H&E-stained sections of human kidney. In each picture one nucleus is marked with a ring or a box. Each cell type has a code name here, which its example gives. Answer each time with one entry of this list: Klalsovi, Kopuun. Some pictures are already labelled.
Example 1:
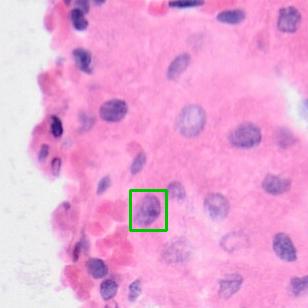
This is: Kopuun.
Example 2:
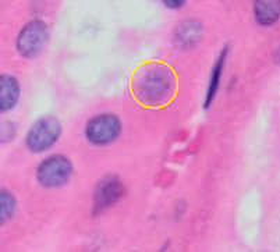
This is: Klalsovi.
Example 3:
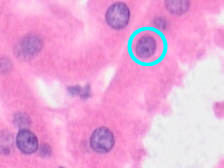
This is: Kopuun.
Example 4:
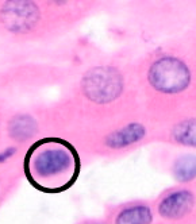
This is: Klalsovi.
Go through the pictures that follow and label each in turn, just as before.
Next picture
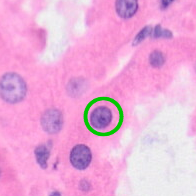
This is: Kopuun.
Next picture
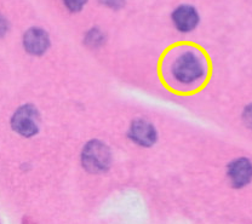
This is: Kopuun.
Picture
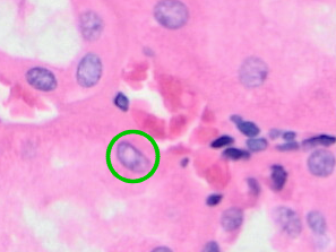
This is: Kopuun.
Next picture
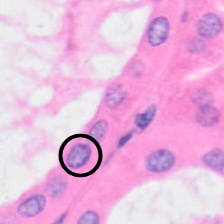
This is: Klalsovi.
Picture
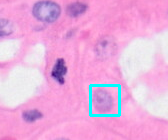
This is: Kopuun.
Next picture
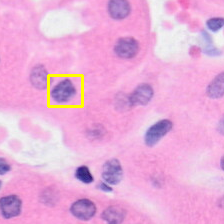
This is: Kopuun.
